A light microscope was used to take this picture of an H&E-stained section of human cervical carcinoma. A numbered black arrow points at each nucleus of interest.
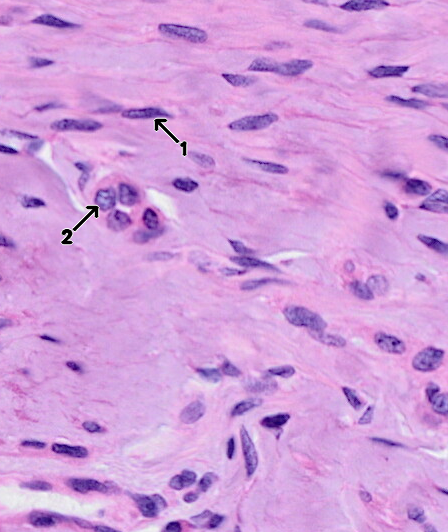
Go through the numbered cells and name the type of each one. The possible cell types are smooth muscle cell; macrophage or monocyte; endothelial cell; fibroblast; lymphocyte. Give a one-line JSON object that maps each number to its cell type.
{"1": "fibroblast", "2": "endothelial cell"}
